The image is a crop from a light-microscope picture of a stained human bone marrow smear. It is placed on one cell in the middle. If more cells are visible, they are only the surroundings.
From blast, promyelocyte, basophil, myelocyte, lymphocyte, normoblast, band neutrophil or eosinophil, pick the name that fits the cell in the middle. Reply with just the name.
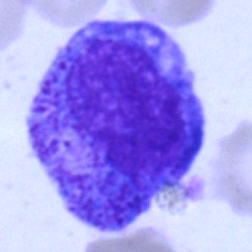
promyelocyte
